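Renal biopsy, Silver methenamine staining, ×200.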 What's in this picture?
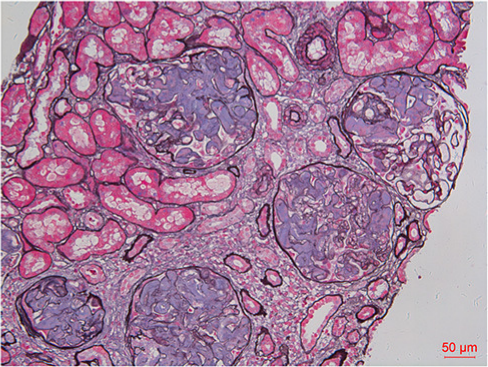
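This is kidney cortex with several enlarged glomeruli surrounded by tubules. Black silver-stained lines trace the basement membranes of the tubules and the outline of each glomerulus, while the tubular epithelium appears pink-red. Inside the glomeruli, the tufts are filled with a greyish-purple, amorphous material that does not take up the black stain, so the glomeruli look pale and smudged compared with the crisp black outlines around them. Between the tubules lies a loose interstitium with scattered small nuclei.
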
